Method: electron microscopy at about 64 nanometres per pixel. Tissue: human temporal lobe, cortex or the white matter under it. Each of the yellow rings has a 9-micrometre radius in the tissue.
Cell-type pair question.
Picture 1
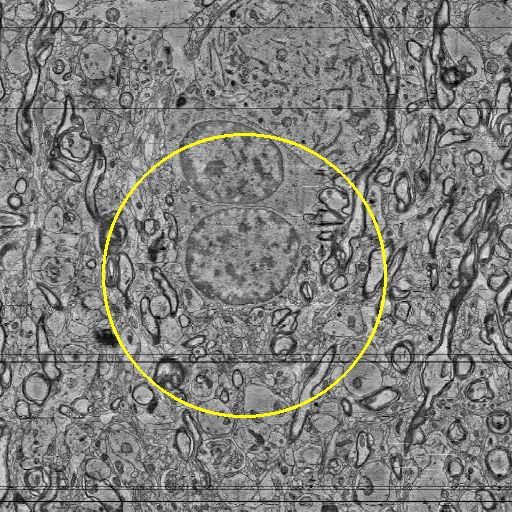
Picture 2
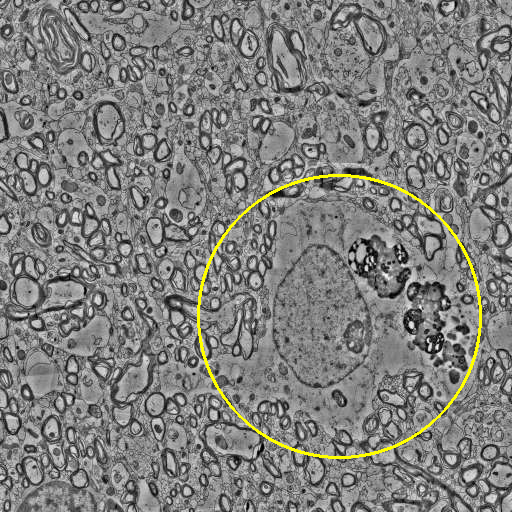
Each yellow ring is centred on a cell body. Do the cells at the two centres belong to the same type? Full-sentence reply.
No, the two cells belong to two types.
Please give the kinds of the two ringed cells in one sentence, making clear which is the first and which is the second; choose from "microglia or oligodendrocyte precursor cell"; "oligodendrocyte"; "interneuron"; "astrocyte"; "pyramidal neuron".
In the second picture the ringed cell is an astrocyte; in the first it is an oligodendrocyte.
